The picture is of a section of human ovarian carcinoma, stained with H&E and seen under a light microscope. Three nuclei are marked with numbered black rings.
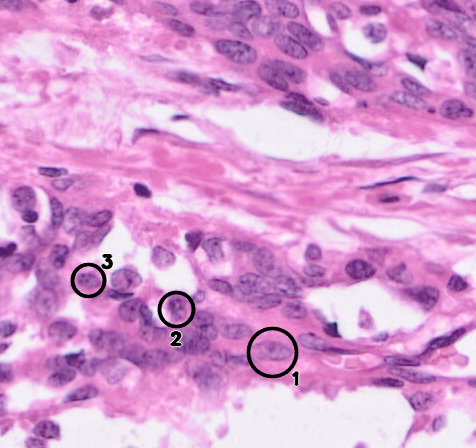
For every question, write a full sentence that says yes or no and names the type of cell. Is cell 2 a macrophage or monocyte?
No, the cell referred to as 2 is a carcinoma cell, not a macrophage or monocyte.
